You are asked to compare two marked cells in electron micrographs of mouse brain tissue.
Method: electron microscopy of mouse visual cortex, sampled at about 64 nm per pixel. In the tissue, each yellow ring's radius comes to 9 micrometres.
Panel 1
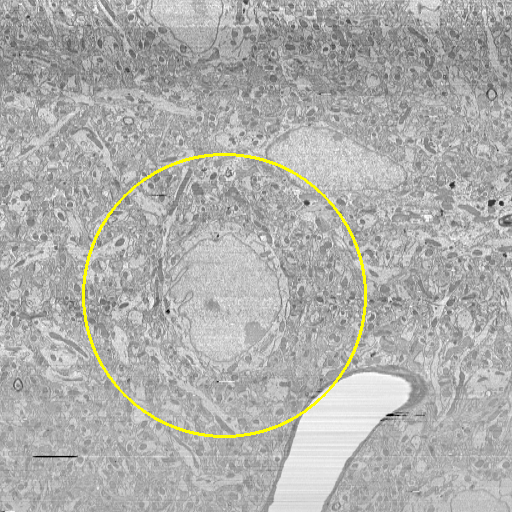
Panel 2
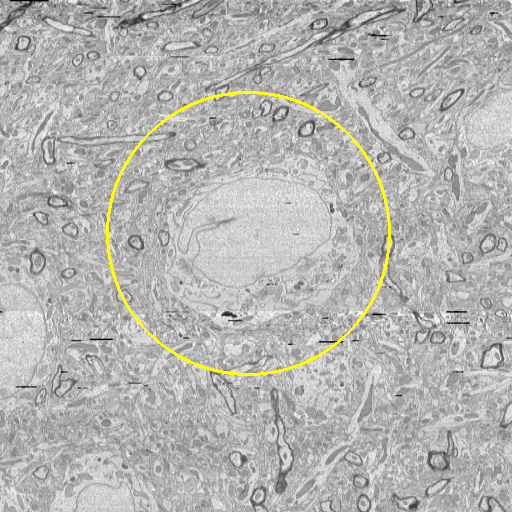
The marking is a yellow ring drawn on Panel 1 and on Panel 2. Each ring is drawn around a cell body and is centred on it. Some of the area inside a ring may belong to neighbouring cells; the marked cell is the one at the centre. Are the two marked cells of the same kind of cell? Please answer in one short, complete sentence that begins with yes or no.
No, the two marked cells are of two kinds.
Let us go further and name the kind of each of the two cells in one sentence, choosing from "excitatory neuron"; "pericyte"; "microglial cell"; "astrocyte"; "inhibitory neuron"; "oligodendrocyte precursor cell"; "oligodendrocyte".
The ring of the first picture is on an inhibitory neuron, the ring of the second on an excitatory neuron.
